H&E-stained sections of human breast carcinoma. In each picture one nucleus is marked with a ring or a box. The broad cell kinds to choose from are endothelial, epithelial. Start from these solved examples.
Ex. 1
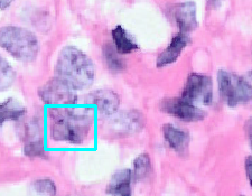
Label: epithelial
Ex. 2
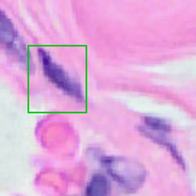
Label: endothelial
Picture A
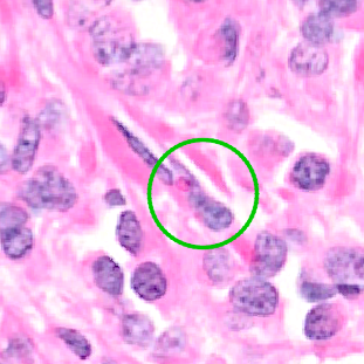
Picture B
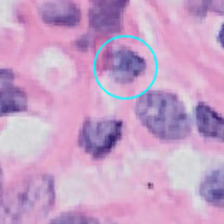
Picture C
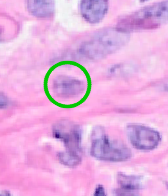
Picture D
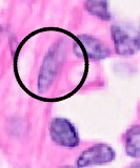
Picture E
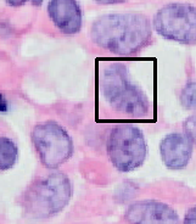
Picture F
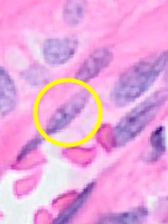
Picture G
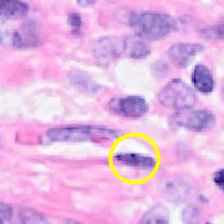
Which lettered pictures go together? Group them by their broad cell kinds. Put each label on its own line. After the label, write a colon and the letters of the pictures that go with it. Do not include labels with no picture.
endothelial: A, B, C, D, F, G
epithelial: E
